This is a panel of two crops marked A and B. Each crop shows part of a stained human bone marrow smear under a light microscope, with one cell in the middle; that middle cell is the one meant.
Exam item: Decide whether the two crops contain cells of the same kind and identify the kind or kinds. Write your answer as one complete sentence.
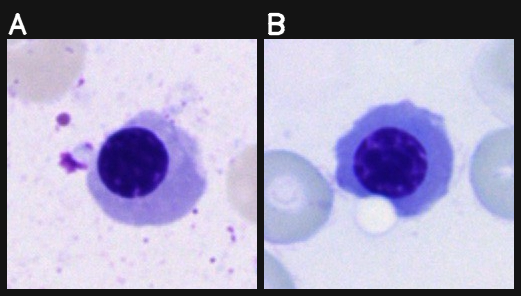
Yes, the middle cells in both crops are indeed normoblasts.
